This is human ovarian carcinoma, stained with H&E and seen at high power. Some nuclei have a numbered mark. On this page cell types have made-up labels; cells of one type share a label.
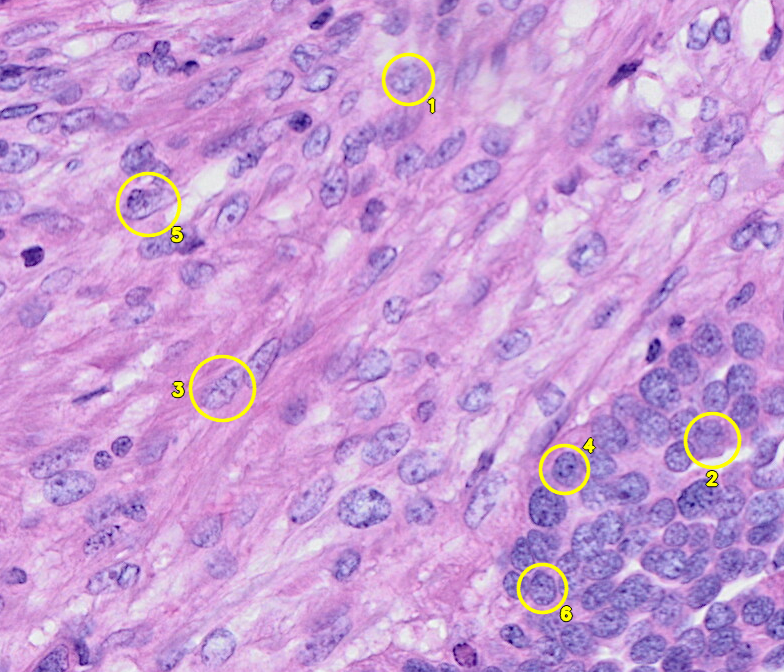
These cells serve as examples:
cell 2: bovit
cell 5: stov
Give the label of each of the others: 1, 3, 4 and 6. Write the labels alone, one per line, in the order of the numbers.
stov
stov
bovit
bovit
